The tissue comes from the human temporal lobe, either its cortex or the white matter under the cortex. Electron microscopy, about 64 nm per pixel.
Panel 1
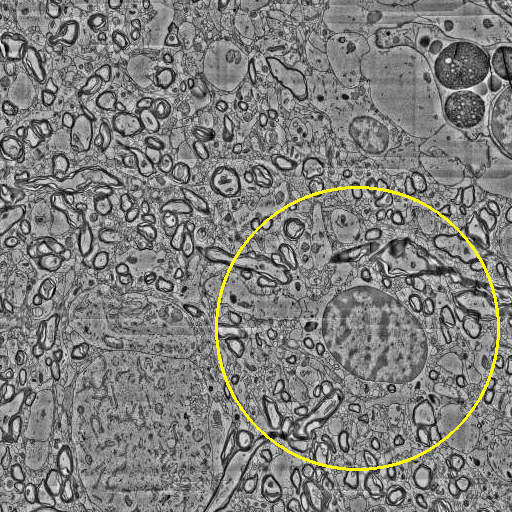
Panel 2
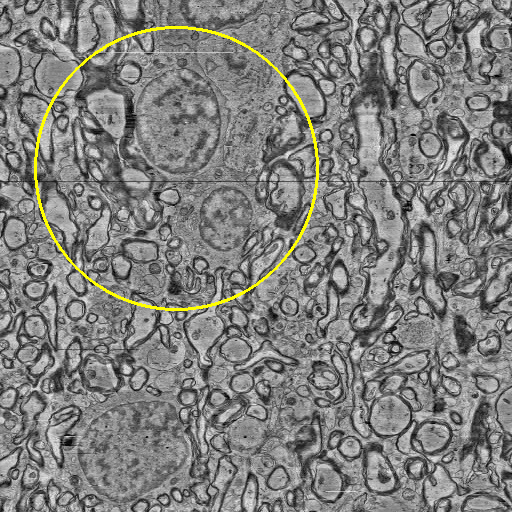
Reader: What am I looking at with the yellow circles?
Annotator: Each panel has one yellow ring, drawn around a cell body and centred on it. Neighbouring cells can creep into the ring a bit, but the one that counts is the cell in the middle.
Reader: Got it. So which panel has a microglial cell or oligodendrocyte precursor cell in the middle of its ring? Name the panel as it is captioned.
Panel 1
